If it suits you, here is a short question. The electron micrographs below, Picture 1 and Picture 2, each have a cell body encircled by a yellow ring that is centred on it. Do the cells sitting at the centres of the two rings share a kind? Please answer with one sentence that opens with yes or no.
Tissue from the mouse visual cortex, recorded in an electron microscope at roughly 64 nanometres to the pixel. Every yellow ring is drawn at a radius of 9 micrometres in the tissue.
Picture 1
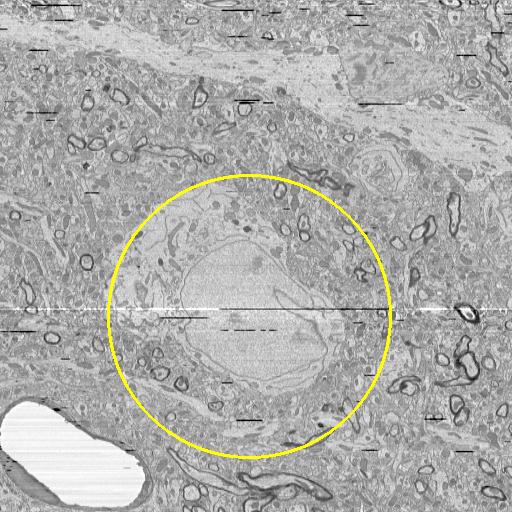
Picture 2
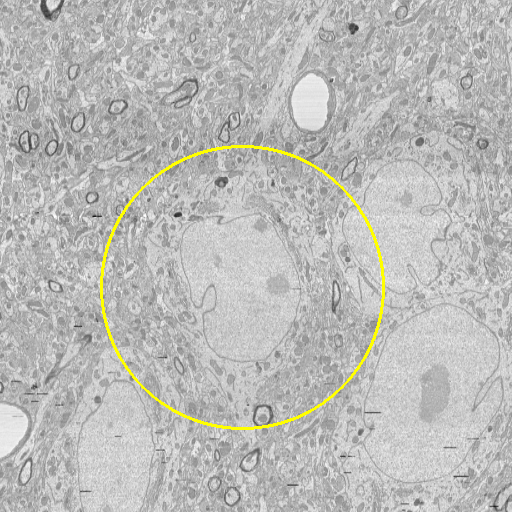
Yes, the two cells sitting at the ring centres share a single kind.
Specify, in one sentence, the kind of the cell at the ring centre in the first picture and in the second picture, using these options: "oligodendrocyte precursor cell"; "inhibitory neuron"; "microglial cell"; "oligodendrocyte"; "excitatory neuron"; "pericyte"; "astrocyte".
Both rings mark an excitatory neuron, one in each picture.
